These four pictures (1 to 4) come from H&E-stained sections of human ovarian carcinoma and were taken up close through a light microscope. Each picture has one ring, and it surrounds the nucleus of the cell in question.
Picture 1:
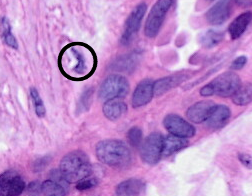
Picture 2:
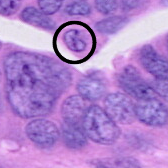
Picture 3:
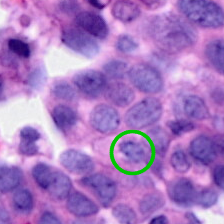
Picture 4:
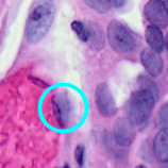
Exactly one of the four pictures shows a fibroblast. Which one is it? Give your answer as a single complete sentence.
Picture 1 shows the fibroblast.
